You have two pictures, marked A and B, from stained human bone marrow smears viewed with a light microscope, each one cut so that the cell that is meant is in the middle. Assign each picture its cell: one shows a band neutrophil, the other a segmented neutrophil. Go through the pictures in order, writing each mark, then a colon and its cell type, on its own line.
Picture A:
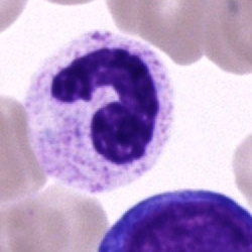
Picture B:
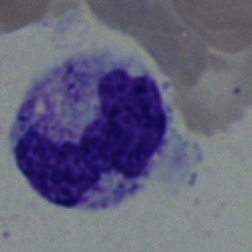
A: segmented neutrophil
B: band neutrophil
